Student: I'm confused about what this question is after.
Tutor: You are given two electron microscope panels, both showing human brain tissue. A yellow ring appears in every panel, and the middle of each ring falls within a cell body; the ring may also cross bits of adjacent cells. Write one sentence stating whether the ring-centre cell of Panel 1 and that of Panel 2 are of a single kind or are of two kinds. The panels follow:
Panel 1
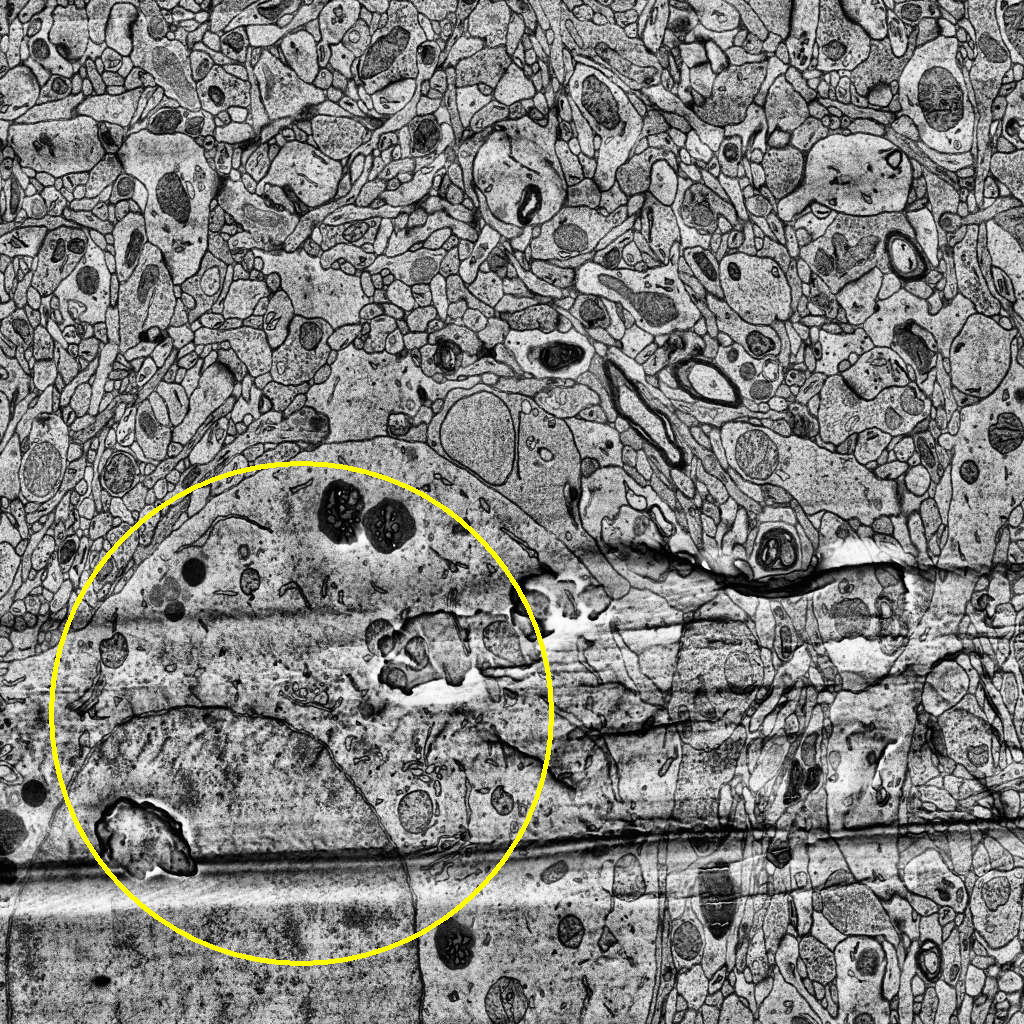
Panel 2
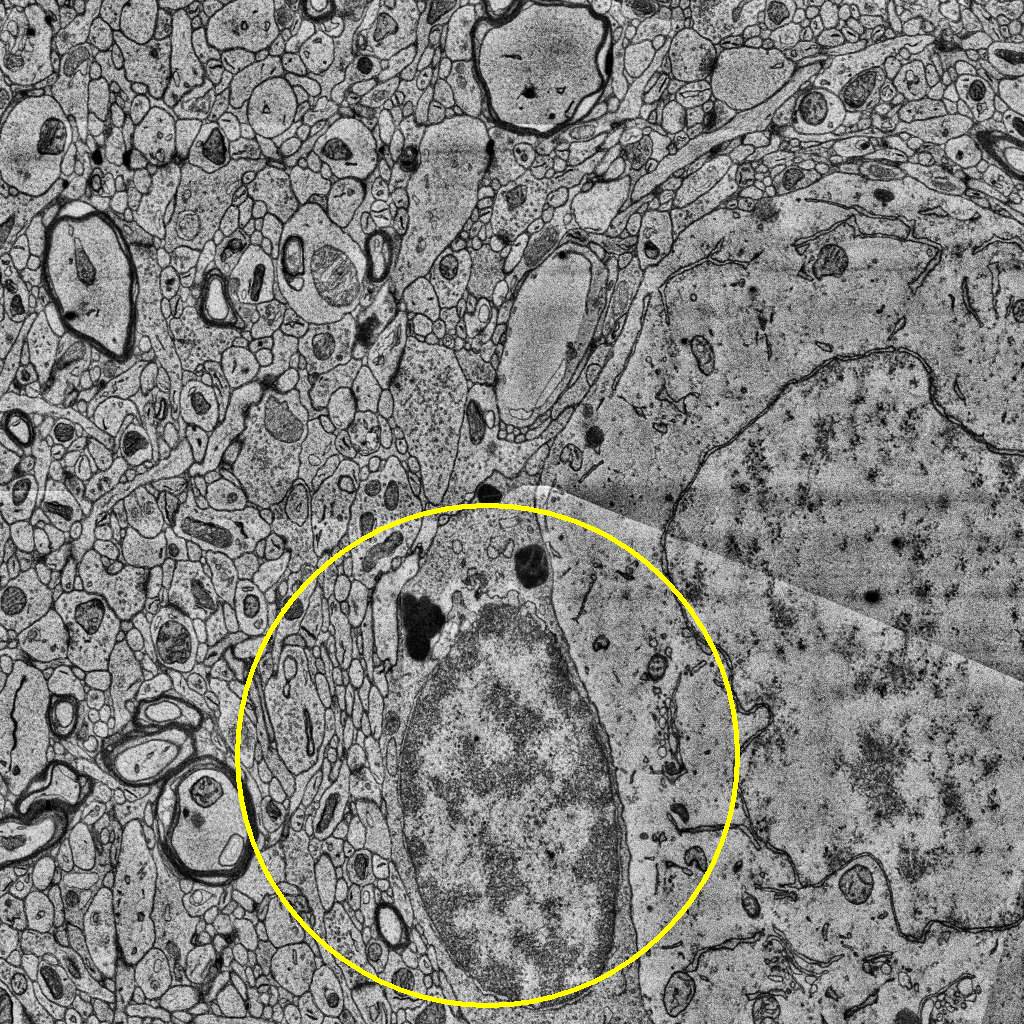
Here, the Panel 1 ring-centre cell and the Panel 2 ring-centre cell are of two kinds.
